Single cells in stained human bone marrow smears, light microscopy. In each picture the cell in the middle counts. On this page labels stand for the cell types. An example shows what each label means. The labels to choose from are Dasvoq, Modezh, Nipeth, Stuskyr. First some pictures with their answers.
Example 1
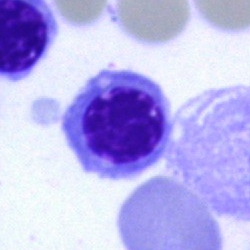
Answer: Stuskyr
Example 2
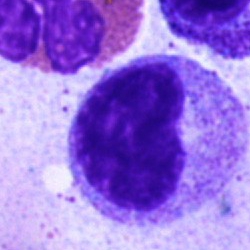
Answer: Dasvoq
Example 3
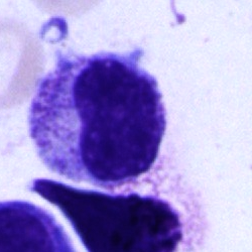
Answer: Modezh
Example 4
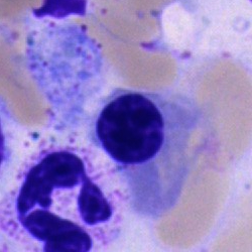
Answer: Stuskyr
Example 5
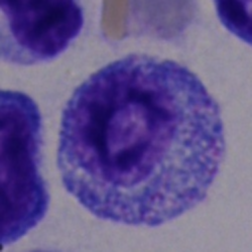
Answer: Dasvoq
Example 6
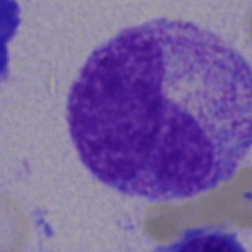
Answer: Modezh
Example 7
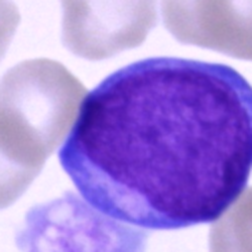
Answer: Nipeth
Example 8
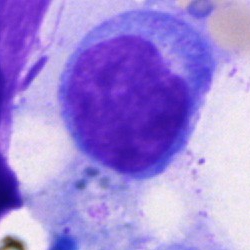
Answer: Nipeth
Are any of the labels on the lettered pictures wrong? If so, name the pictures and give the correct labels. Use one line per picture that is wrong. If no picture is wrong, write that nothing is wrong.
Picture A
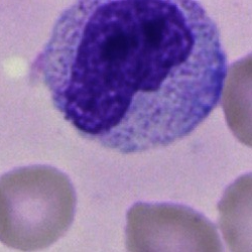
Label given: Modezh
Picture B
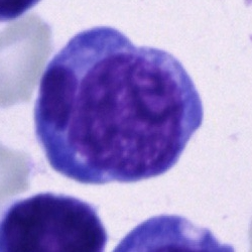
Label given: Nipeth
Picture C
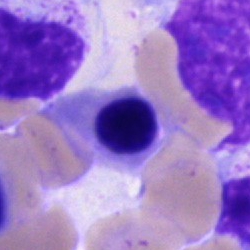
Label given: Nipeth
C should be Stuskyr, not Nipeth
